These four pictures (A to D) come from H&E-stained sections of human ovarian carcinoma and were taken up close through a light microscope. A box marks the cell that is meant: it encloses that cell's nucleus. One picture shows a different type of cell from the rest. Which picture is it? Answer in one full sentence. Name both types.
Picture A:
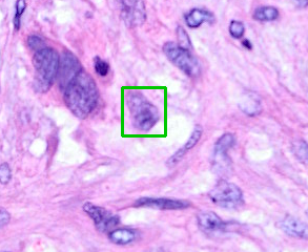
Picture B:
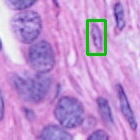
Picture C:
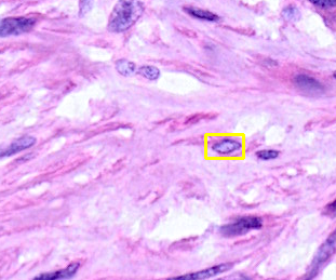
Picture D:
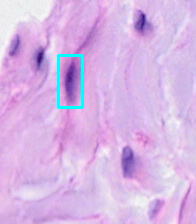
Picture D is the odd one out: it shows an endothelial cell, while the others show fibroblasts.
